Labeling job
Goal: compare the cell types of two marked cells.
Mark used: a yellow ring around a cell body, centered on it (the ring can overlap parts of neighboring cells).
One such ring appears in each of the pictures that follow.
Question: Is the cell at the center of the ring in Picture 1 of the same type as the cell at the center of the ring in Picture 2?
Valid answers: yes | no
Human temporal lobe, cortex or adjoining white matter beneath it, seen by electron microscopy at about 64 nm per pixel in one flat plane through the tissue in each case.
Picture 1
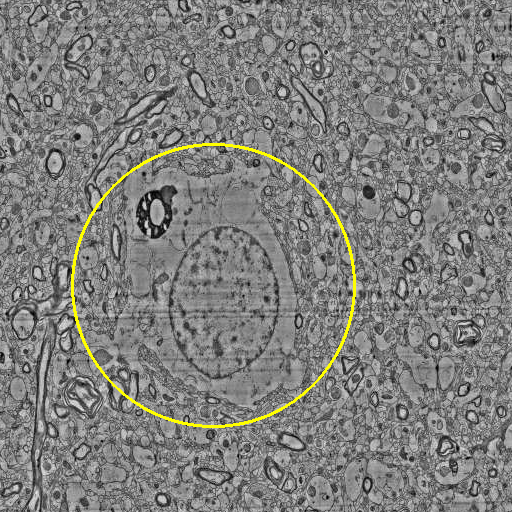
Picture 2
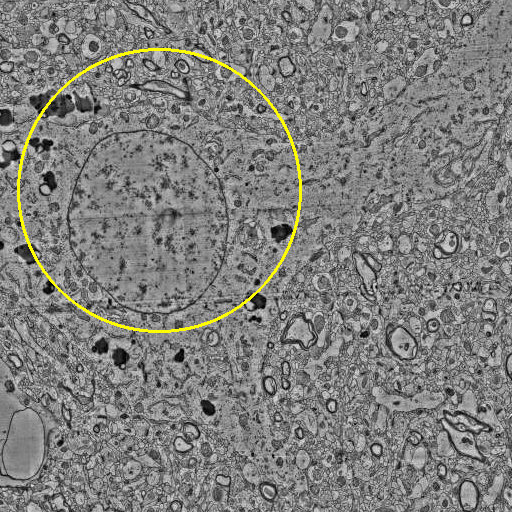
no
